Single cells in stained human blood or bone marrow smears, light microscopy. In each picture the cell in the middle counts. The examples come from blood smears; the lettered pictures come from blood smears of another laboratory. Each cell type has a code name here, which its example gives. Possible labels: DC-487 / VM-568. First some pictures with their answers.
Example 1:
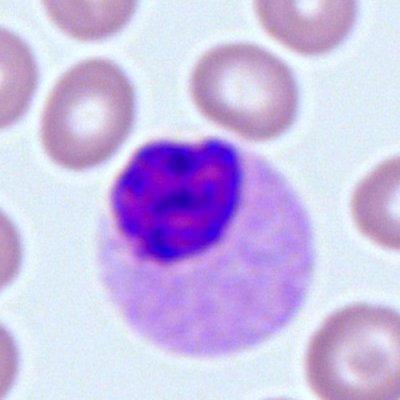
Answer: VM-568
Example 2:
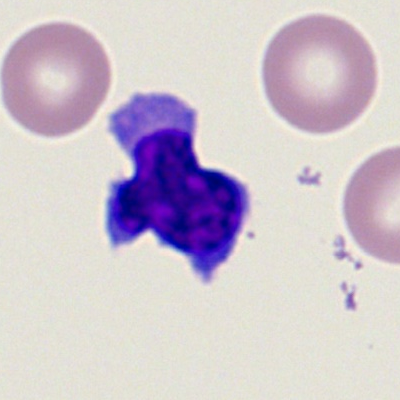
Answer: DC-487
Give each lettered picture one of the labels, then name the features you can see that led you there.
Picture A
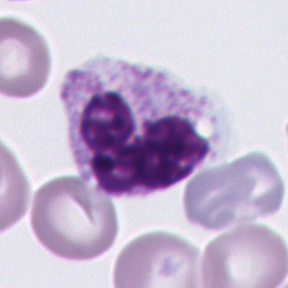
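VM-568: The cytoplasm is plentiful and very pale lilac.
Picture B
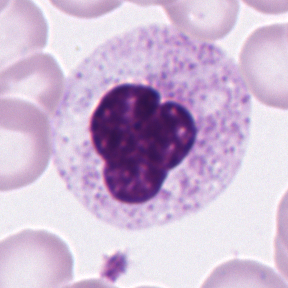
VM-568: The cytoplasm forms a wide rim all around the nucleus.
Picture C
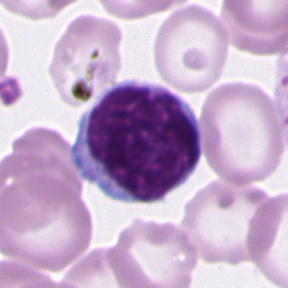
DC-487: The cytoplasm is a narrow rim around the nucleus.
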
